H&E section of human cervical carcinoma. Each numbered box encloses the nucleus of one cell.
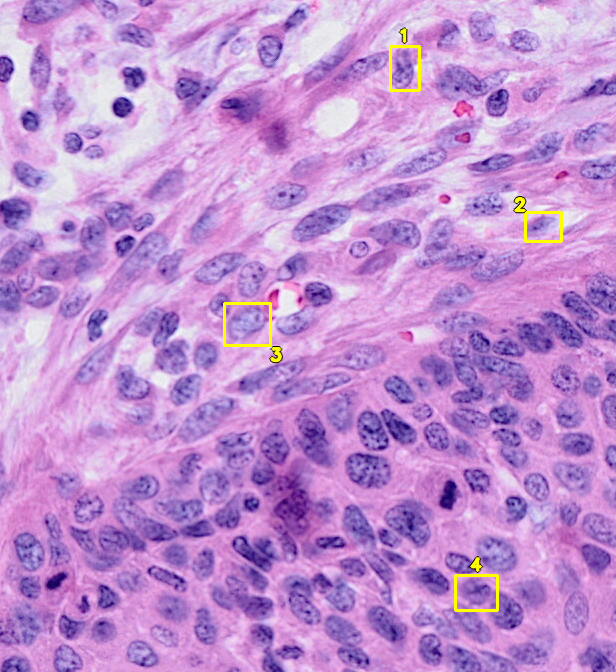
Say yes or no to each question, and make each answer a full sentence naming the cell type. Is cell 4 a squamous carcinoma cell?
Yes, the one with the number 4 is a squamous carcinoma cell.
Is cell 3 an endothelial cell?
Yes, as for number 3, the cell is an endothelial cell.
